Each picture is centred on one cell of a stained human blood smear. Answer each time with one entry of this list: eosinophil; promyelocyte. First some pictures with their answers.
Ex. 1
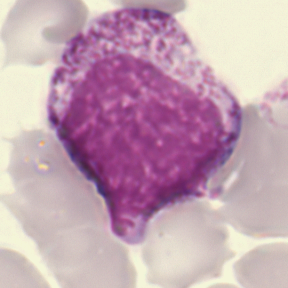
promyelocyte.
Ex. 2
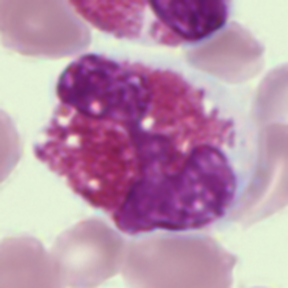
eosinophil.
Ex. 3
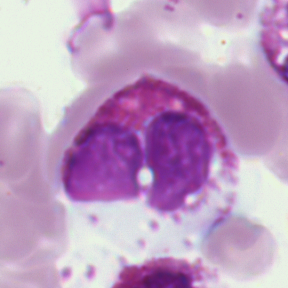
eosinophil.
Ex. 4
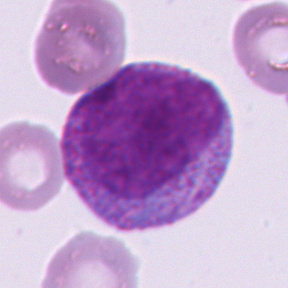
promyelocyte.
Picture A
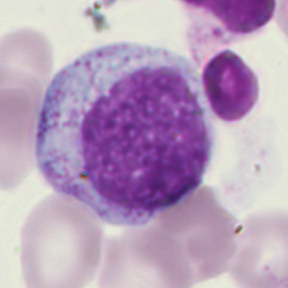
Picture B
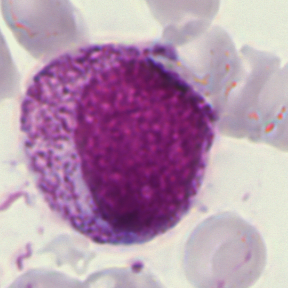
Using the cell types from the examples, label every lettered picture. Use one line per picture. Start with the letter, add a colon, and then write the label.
A: promyelocyte.
B: promyelocyte.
